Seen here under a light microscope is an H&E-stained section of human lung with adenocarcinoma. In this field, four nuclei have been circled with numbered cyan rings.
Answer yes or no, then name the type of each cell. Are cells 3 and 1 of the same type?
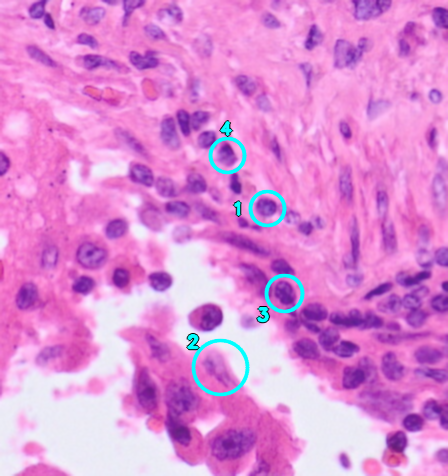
Yes, both cell 3 and cell 1 are lymphocytes.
